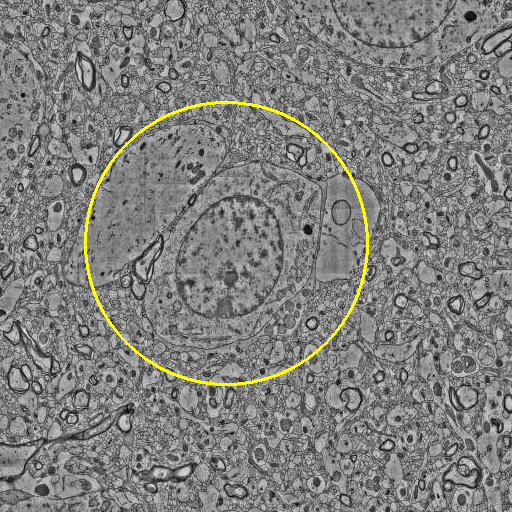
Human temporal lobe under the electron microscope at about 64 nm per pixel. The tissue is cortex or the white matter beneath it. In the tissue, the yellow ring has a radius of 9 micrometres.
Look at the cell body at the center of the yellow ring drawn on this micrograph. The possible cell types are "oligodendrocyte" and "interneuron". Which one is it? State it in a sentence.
The cell in the middle of the ring is an interneuron.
